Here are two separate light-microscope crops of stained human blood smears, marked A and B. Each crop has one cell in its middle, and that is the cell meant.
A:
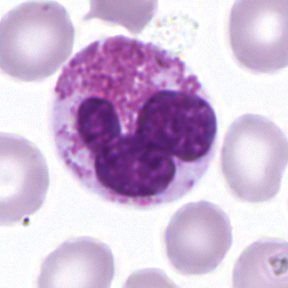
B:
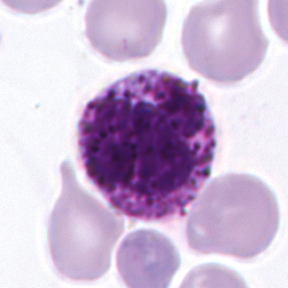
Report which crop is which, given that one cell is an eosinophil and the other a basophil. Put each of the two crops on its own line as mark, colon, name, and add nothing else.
A: eosinophil
B: basophil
